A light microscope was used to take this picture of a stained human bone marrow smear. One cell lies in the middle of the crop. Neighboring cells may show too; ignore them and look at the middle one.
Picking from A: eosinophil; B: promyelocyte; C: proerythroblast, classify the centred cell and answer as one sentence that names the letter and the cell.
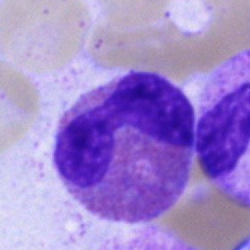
The cell shown centrally is an eosinophil; option A is the correct option.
